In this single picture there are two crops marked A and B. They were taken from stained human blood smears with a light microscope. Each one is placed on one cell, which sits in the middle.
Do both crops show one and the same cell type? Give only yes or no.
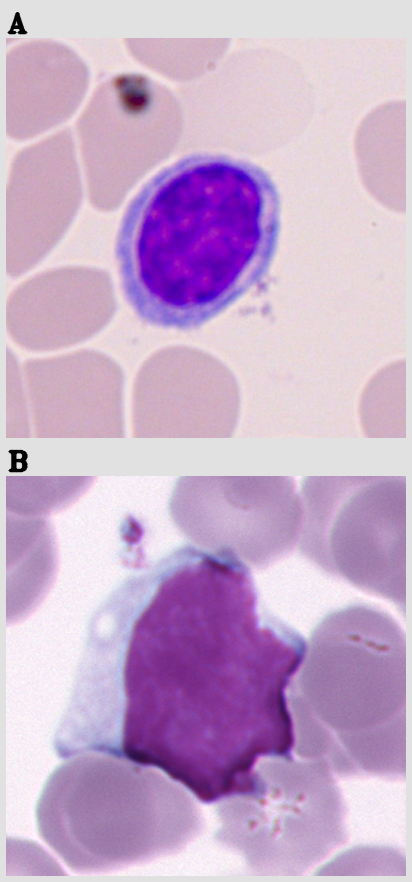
yes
